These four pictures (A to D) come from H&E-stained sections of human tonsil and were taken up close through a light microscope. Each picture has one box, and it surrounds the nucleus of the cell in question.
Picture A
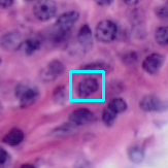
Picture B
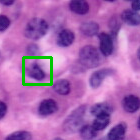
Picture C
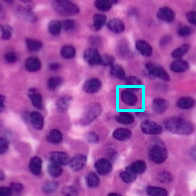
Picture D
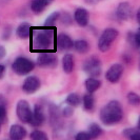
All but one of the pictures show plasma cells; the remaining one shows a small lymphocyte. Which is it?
D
